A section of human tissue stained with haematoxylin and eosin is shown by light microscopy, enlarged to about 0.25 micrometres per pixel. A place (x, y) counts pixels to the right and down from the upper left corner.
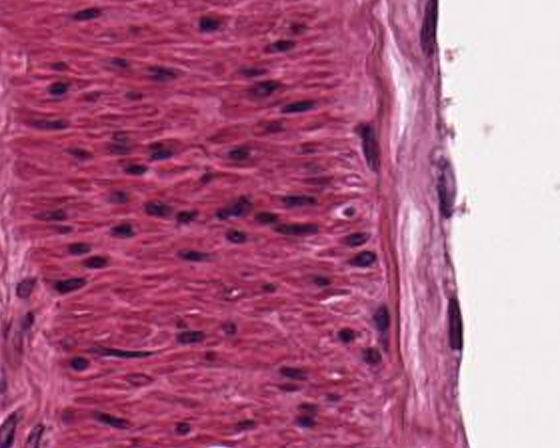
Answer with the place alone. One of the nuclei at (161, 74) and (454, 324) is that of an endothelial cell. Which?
(454, 324)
